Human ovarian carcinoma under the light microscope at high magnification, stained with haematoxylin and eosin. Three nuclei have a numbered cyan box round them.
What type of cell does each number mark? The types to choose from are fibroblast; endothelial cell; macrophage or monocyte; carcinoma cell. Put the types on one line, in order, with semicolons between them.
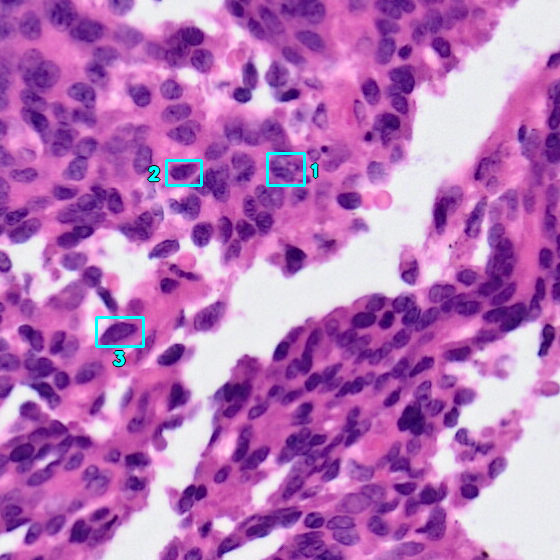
macrophage or monocyte; carcinoma cell; carcinoma cell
